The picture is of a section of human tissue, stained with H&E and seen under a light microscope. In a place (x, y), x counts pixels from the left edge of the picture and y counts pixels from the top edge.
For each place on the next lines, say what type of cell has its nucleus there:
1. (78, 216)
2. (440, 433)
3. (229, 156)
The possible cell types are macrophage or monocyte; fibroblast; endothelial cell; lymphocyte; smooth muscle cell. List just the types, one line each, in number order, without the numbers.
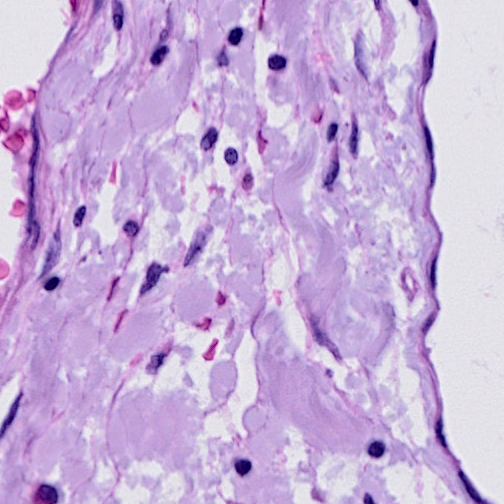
lymphocyte
endothelial cell
lymphocyte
